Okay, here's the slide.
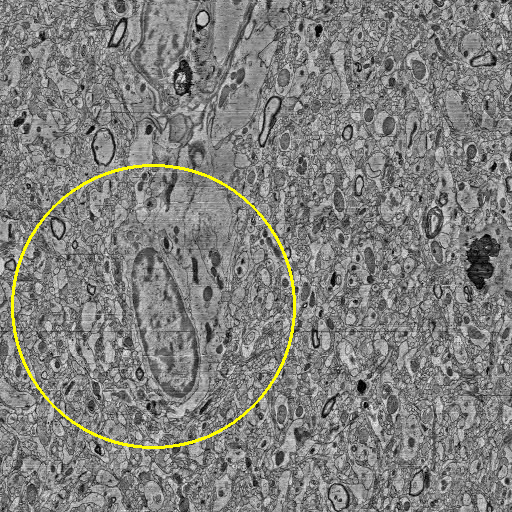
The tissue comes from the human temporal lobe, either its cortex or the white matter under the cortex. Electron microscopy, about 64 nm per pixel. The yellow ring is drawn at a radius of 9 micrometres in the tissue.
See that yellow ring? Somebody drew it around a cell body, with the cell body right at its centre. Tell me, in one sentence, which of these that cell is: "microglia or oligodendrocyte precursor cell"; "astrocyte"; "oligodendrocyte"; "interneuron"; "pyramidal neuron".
The cell in the middle of the ring is a microglial cell or oligodendrocyte precursor cell.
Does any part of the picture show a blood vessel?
Yes, one is visible.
